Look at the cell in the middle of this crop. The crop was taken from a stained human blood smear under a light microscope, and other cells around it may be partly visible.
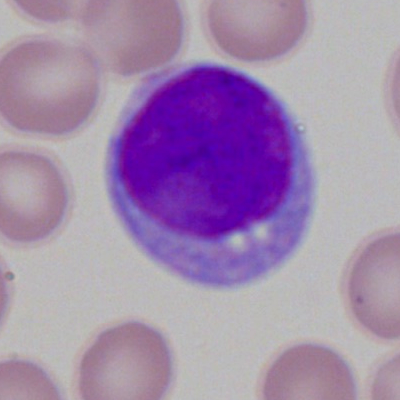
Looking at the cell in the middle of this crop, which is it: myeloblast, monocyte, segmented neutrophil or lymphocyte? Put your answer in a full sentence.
Located at the centre of the crop is a myeloblast.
